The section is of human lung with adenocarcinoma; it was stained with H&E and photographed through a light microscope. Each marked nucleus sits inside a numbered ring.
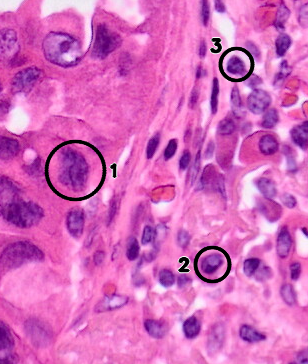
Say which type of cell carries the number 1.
carcinoma cell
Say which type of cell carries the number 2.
plasma cell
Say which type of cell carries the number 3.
lymphocyte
